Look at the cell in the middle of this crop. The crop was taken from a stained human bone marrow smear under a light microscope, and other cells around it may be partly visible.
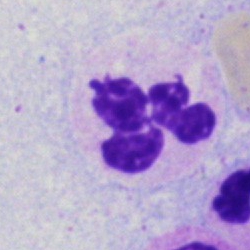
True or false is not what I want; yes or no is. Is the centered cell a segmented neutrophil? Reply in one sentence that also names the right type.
Yes, the centered cell in this field is a segmented neutrophil.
